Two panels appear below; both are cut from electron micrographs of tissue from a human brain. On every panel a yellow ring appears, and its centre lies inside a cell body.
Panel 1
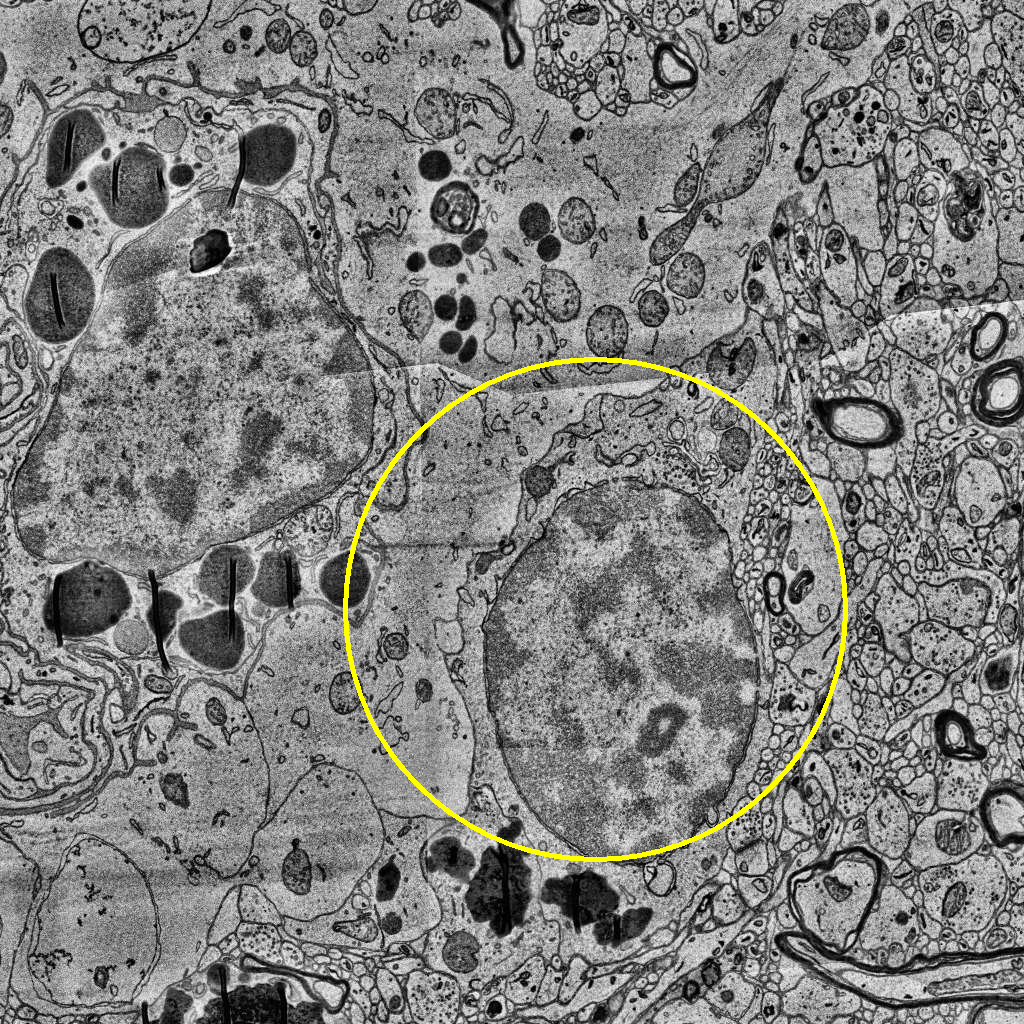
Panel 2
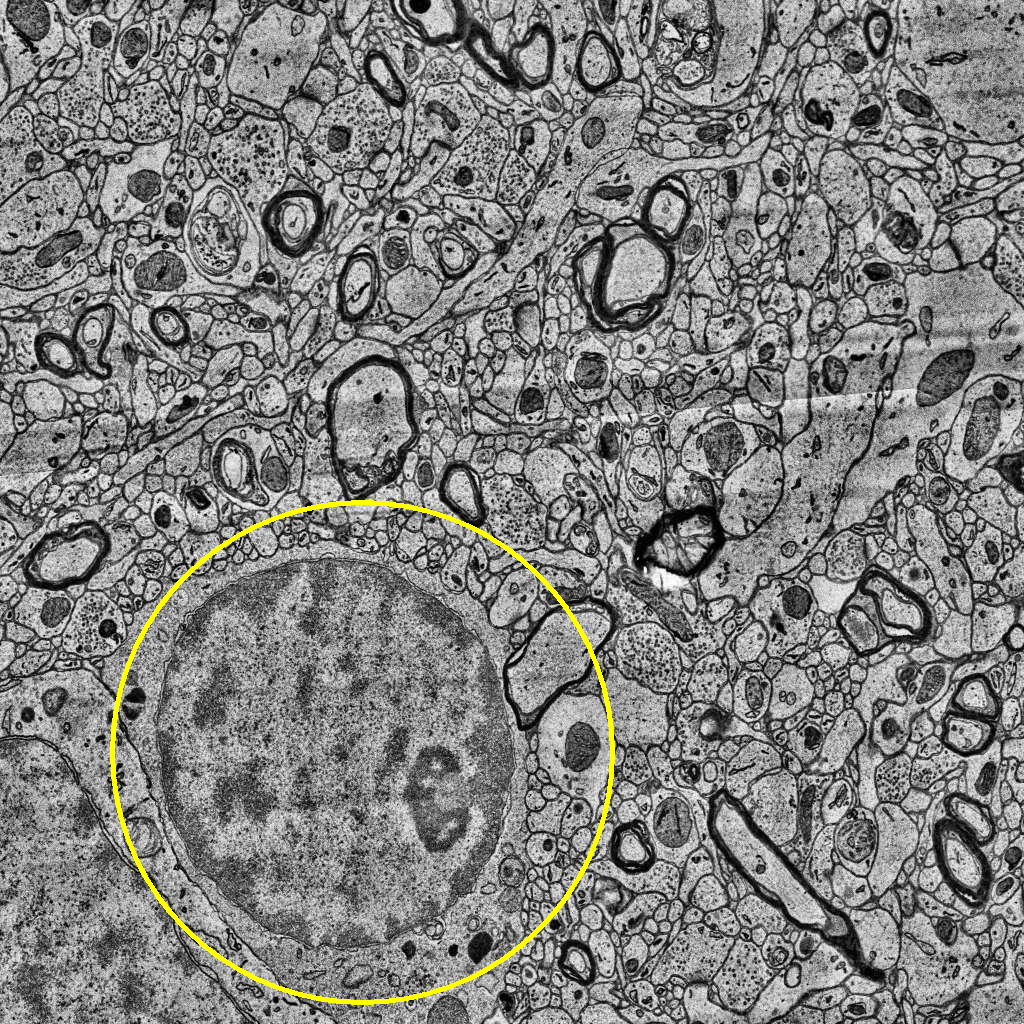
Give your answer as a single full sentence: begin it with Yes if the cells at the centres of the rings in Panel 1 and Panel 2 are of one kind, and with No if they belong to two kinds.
Yes, the cells at the middle of the rings in Panels 1 and 2 are of one kind.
